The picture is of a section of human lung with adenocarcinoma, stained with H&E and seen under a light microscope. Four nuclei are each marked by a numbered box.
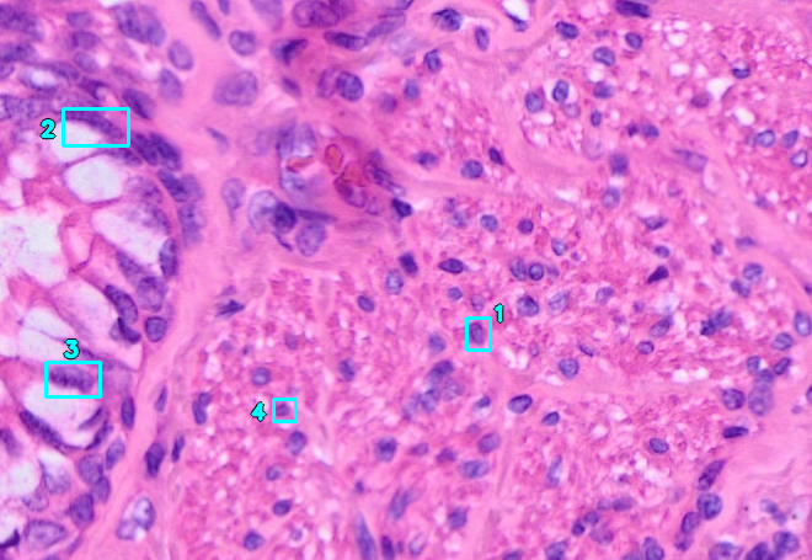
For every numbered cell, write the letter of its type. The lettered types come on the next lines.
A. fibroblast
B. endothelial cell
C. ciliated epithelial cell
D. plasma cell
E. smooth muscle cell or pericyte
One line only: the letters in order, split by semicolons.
E; C; C; E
